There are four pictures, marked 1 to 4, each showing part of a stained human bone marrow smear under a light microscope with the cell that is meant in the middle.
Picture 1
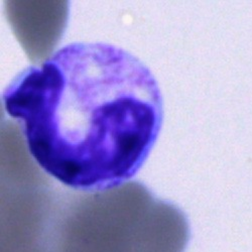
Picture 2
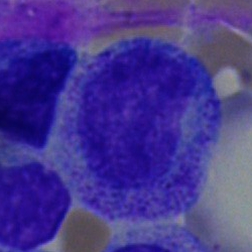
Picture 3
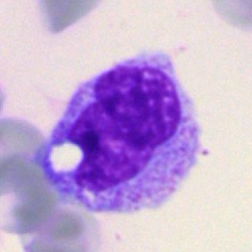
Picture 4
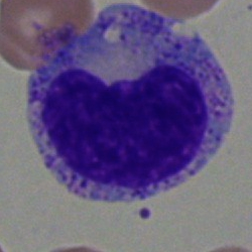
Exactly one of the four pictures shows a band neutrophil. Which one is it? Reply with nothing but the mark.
1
